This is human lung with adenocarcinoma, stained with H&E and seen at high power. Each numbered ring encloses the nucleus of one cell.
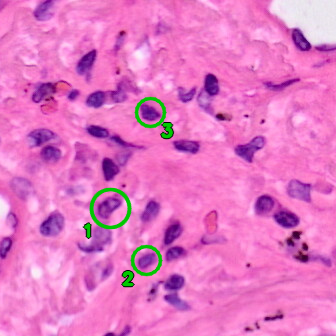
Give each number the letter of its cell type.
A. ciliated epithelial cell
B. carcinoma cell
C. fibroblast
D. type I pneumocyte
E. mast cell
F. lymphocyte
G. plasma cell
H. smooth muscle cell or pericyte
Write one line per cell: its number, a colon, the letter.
1: G
2: E
3: F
